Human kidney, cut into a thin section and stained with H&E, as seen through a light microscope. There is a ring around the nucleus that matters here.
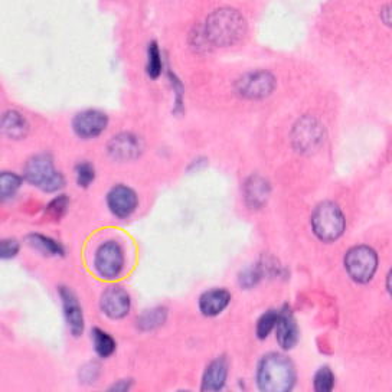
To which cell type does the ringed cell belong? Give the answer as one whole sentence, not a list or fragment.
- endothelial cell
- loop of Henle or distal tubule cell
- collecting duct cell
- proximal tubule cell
So far as cell type goes, the ringed cell is a loop of Henle or distal tubule cell.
